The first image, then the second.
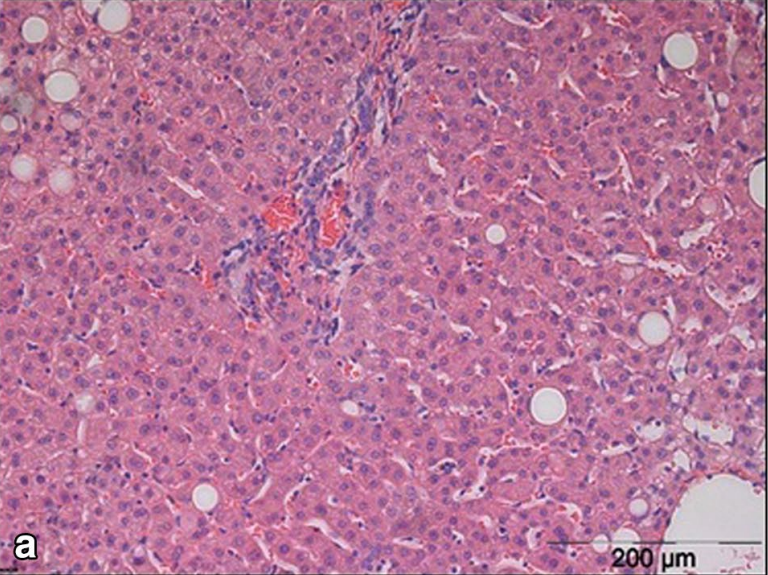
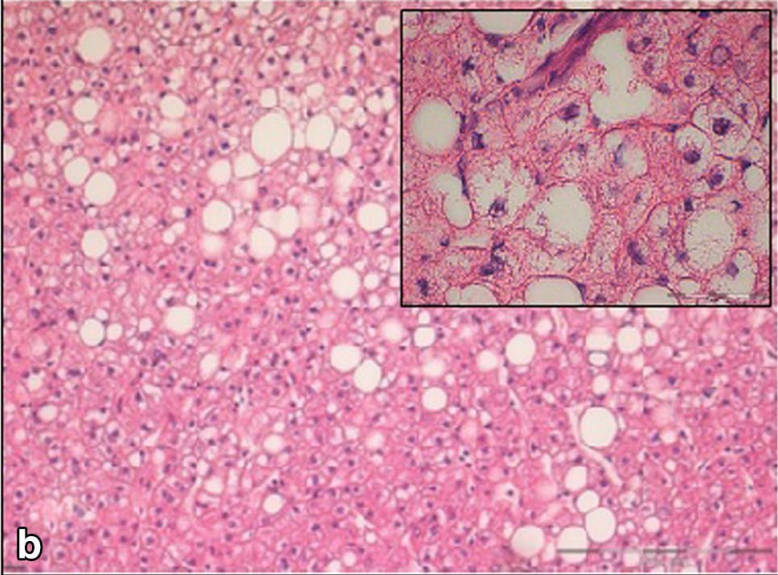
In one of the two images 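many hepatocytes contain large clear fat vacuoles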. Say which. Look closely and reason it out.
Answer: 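Second image: clear round vacuoles crowd large parts of the field. First image: only a few scattered clear vacuoles among pink hepatocytes. On this evidence: the second image.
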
